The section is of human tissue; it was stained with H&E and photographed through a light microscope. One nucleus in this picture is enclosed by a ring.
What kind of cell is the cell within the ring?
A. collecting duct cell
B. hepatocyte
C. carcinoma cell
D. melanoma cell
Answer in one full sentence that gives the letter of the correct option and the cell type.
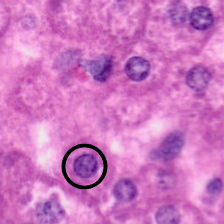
Option B is the right one; the cell within the ring is a hepatocyte.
